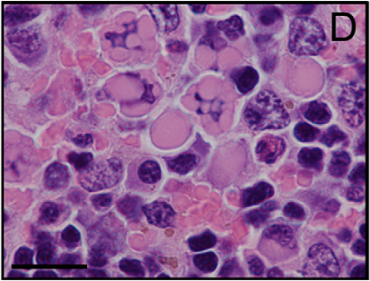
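Many cells have a round, dark purple nucleus with coarse, clumped chromatin, set to one side of the cell. Large, round, pale pink, glassy globules lie among these cells, several of them much larger than the surrounding red blood cells. Small red blood cells are scattered between the nucleated cells. The cells are crowded closely together with little intervening stroma.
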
